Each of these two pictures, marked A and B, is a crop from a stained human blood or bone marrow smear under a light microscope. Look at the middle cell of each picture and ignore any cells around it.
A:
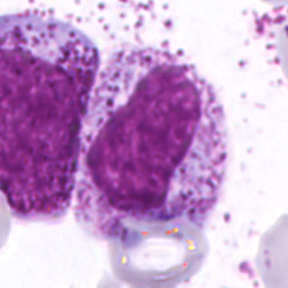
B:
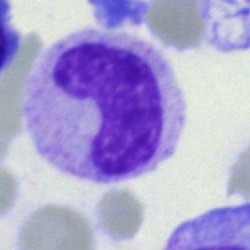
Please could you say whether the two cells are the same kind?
yes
